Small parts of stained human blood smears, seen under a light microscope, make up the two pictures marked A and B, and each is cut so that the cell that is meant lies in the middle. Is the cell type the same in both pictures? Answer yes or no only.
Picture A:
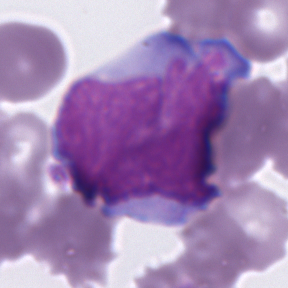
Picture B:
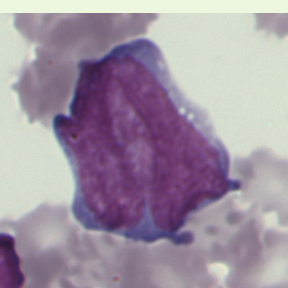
yes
